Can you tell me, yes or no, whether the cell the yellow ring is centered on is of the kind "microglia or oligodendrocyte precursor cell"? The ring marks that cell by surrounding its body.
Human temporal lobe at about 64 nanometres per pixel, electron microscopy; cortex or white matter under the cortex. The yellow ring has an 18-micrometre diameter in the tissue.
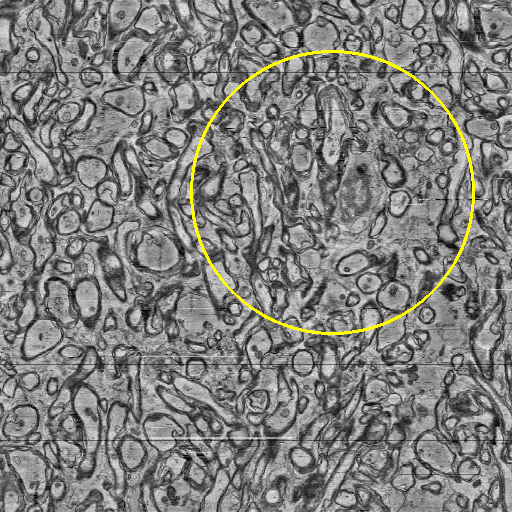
no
